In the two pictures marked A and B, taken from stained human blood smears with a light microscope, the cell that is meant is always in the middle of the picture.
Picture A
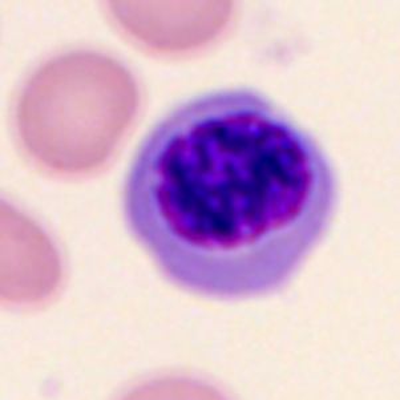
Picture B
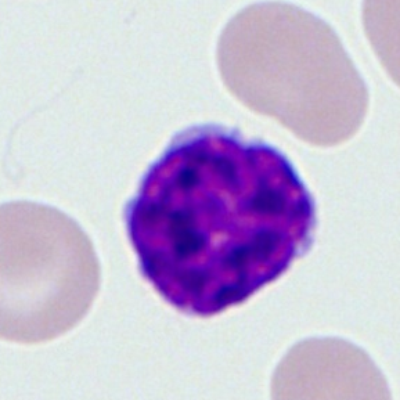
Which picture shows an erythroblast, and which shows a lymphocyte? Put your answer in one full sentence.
Picture A shows an erythroblast and picture B shows a lymphocyte.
